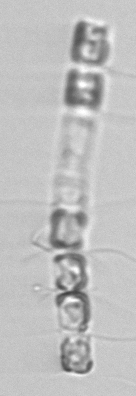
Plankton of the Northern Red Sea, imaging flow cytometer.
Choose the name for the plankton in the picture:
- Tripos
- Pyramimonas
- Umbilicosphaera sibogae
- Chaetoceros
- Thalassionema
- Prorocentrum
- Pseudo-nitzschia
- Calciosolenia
Chaetoceros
